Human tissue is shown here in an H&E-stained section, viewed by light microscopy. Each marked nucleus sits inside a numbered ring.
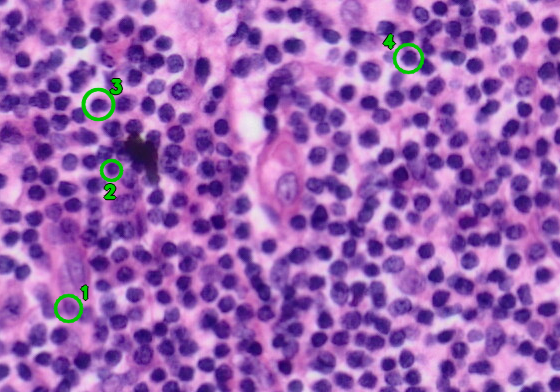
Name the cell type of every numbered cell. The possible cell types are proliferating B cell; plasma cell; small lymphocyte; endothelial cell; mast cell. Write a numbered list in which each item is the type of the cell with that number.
1. endothelial cell
2. small lymphocyte
3. small lymphocyte
4. small lymphocyte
